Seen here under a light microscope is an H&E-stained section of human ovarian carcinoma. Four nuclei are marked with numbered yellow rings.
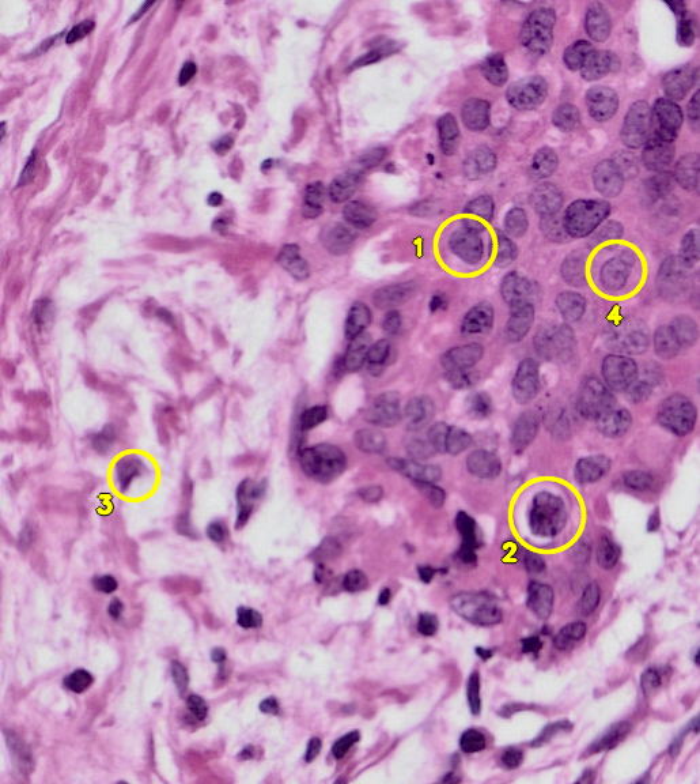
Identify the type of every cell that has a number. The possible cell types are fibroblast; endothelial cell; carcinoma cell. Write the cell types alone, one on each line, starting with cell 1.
carcinoma cell
carcinoma cell
fibroblast
carcinoma cell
